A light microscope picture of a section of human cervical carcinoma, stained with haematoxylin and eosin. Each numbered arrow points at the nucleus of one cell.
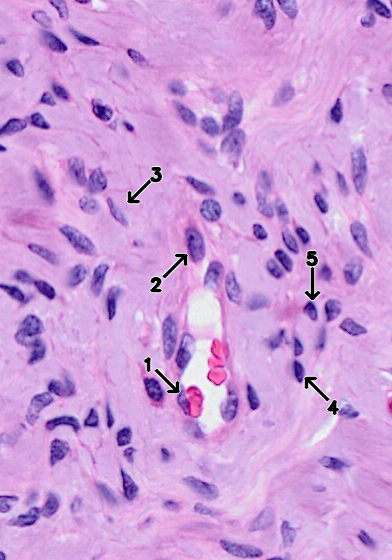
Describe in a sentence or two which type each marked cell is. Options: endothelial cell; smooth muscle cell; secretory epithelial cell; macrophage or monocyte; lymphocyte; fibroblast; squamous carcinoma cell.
Cells 1 and 2 are endothelial cells. Cells 3, 4 and 5 are fibroblasts.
